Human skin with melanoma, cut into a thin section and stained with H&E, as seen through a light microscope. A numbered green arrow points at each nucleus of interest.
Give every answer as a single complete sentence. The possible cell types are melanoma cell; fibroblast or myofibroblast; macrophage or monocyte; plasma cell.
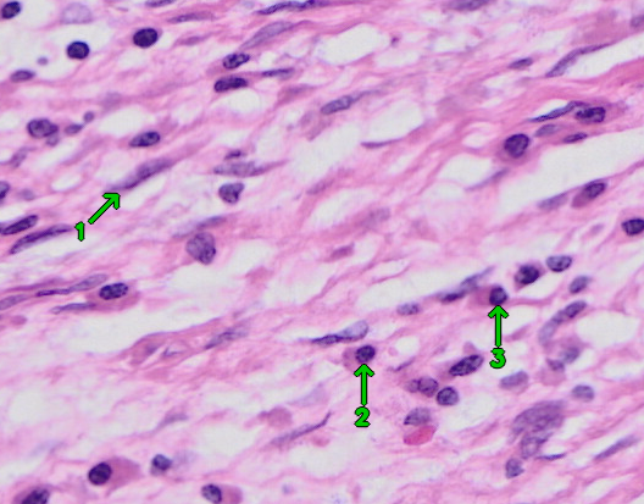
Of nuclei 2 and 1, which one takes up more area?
Number 1 is larger; its area is about 2.5 times that of number 2.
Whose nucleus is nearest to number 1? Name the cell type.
The nucleus nearest to number 1 is that of a plasma cell.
